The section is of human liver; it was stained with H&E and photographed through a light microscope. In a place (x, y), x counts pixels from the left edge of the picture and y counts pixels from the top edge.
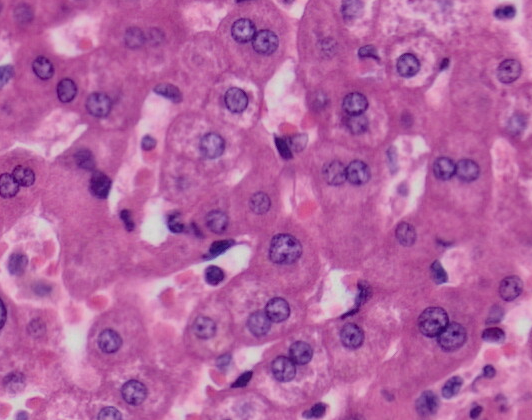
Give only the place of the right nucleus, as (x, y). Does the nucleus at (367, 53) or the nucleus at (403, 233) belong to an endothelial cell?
(367, 53)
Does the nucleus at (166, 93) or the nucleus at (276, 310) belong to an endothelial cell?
(166, 93)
